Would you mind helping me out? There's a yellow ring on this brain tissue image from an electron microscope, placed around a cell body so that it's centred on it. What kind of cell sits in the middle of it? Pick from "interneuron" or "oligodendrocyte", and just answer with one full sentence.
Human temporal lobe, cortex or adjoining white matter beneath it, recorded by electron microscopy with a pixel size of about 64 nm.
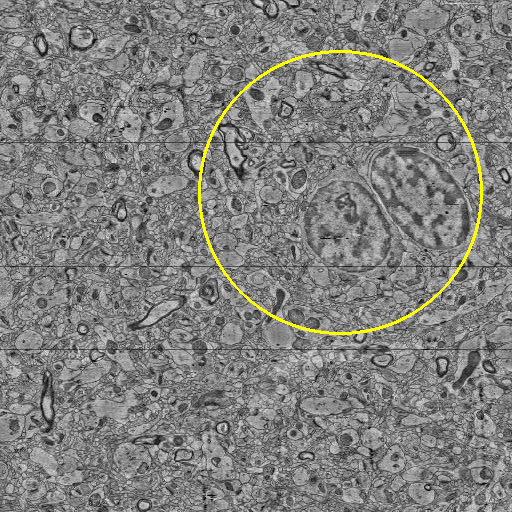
What sits in the middle of that yellow ring is an oligodendrocyte, from your choices.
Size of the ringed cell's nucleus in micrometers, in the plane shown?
Approximately 6 x 5 micrometres in this plane.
